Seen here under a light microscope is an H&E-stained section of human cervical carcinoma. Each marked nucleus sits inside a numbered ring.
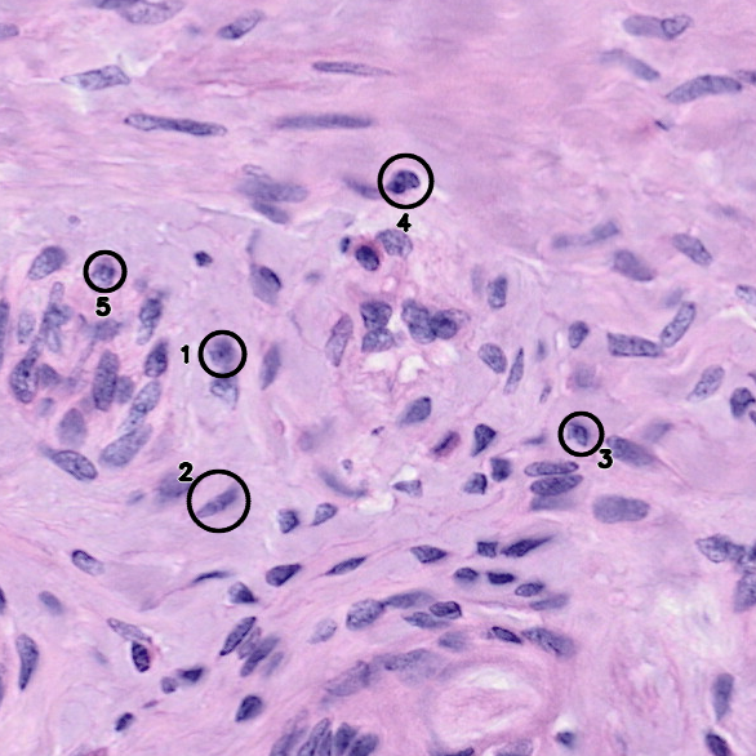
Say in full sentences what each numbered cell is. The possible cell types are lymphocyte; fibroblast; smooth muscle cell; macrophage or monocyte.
Cells 1, 2 and 3 are fibroblasts. Cell 4 is a lymphocyte. Cell 5 is a smooth muscle cell.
